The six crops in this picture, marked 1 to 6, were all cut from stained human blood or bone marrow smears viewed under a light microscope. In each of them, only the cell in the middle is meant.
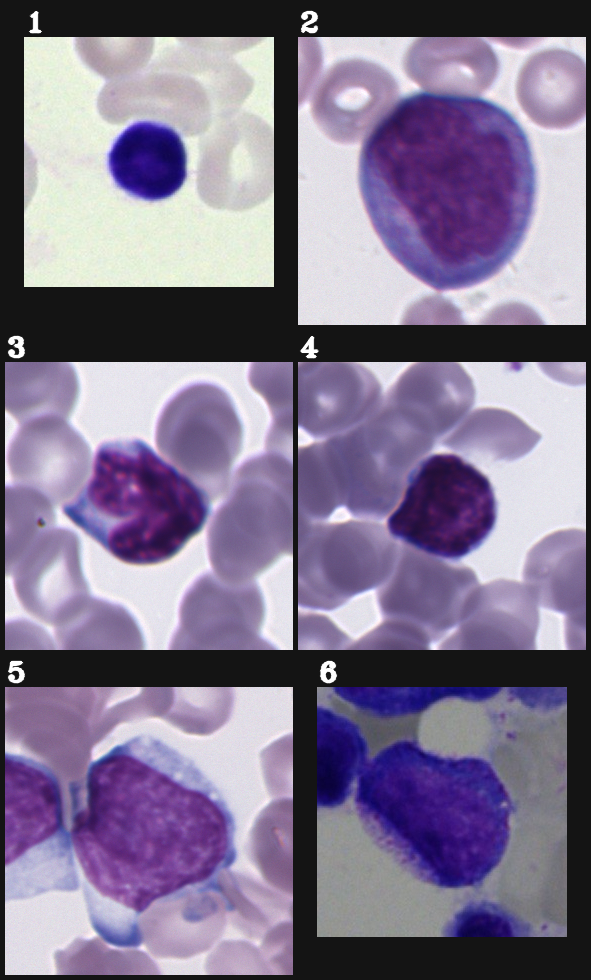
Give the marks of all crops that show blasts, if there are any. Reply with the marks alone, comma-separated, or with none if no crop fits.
5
